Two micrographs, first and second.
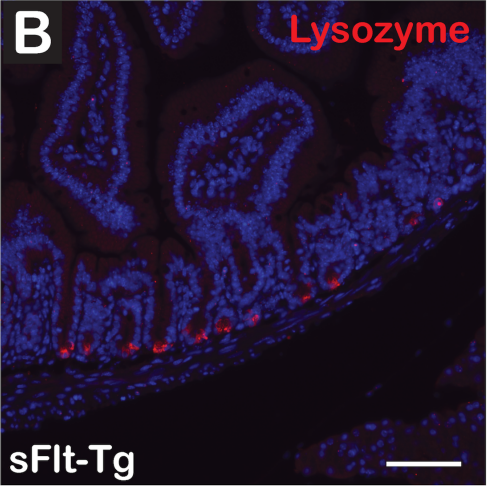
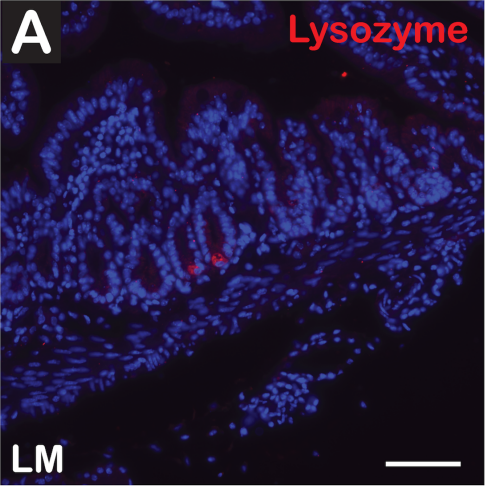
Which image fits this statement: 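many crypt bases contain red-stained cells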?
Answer: The first image.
